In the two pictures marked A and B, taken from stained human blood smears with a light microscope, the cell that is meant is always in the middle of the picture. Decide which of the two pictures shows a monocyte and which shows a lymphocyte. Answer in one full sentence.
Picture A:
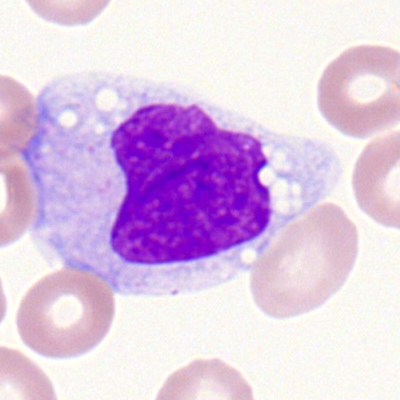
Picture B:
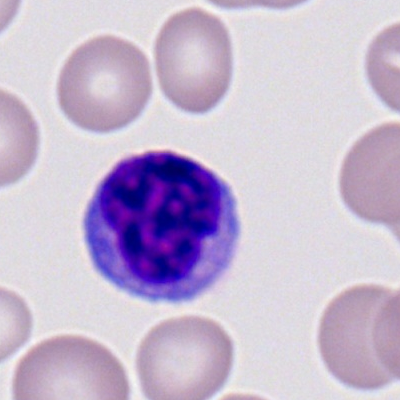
Picture B shows a lymphocyte, while picture A shows a monocyte.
